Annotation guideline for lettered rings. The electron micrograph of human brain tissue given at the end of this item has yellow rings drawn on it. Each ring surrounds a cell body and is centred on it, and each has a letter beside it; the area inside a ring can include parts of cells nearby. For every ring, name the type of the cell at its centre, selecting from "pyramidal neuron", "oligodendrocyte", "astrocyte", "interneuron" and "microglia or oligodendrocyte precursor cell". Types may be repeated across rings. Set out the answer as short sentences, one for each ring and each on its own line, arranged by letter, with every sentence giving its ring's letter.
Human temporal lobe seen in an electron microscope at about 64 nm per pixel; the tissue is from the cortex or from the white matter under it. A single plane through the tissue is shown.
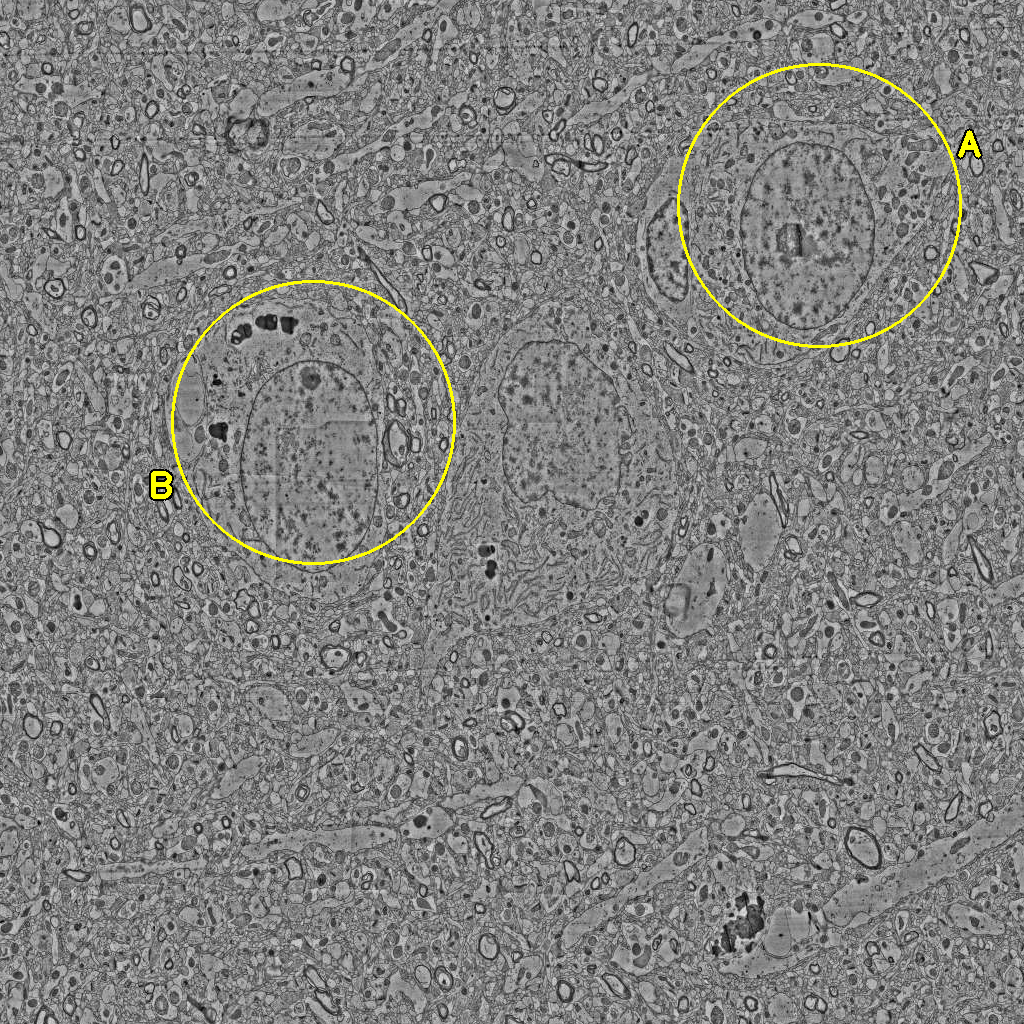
The cell centred in ring A is an interneuron.
The cell centred in ring B is a pyramidal neuron.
